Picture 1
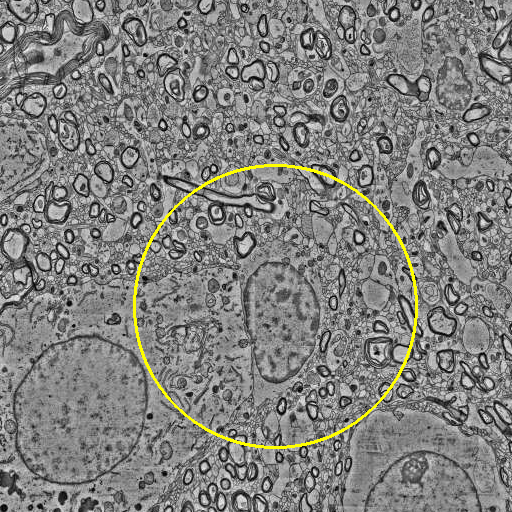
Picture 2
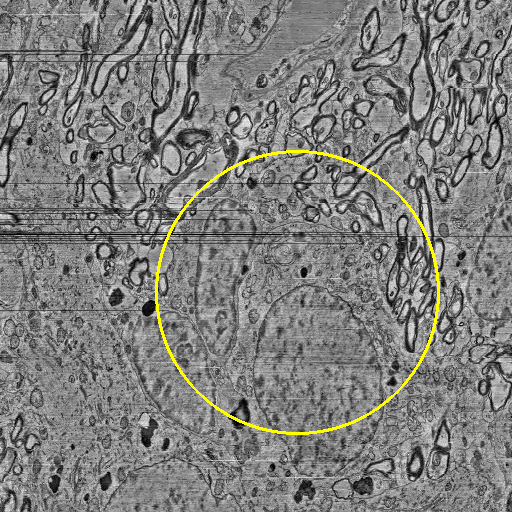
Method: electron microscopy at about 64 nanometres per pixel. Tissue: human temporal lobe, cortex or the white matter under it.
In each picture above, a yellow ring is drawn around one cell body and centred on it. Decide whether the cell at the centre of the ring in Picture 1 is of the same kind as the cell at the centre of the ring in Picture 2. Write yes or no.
no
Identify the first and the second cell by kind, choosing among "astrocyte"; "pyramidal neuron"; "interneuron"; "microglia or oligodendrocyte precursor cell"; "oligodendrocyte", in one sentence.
The one in the first picture is an oligodendrocyte, while the one in the second is an interneuron.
